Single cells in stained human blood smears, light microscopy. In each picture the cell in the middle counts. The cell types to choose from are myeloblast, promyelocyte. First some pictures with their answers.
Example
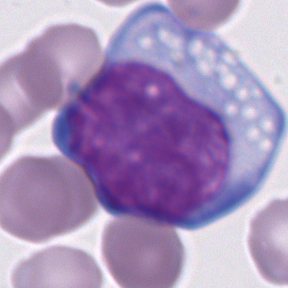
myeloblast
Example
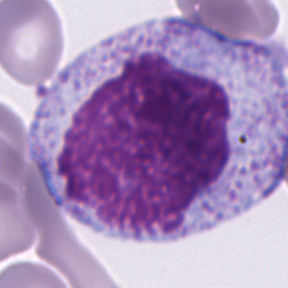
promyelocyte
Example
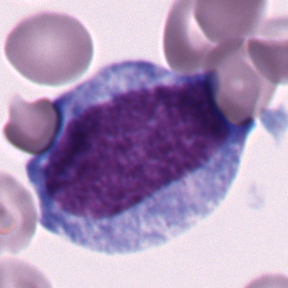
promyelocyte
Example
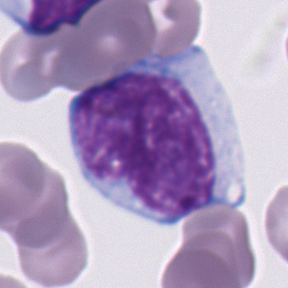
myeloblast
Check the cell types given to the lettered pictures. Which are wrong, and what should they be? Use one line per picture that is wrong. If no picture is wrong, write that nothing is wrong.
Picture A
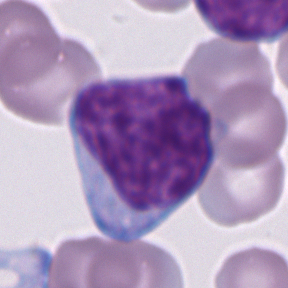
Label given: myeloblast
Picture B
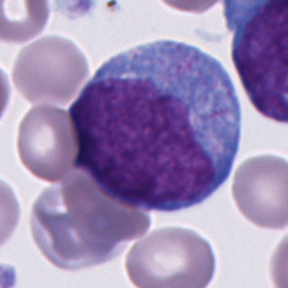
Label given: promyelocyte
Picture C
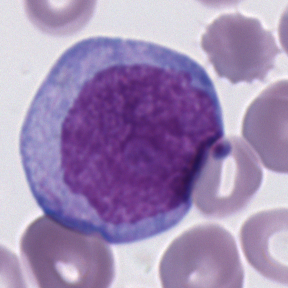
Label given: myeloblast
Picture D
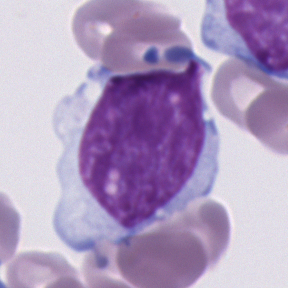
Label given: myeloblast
C should be promyelocyte, not myeloblast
